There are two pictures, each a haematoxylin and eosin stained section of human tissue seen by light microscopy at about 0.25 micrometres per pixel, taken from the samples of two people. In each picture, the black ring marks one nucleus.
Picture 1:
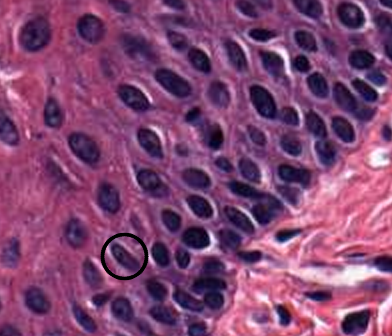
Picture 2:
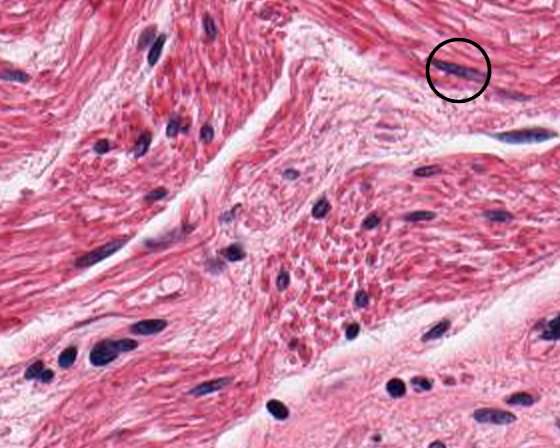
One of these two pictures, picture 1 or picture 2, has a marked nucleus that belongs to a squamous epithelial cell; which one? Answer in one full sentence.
Although both pictures carry a marked nucleus, only in picture 1 does it belong to a squamous epithelial cell.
